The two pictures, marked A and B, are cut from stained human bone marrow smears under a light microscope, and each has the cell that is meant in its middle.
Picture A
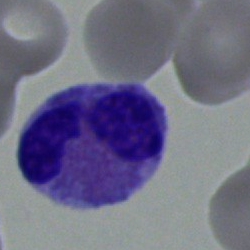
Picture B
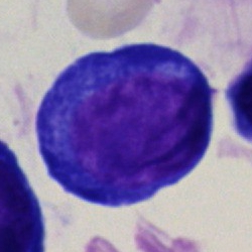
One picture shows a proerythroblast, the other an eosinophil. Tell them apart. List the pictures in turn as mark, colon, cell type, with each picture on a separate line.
A: eosinophil
B: proerythroblast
